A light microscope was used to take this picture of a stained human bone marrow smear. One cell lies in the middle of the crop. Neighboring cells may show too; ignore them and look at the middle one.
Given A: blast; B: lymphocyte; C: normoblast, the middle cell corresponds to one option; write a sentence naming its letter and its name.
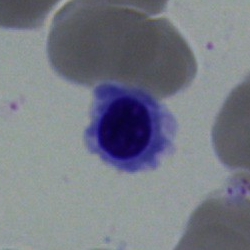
The cell centered in the crop is a normoblast, making option C the correct pick.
